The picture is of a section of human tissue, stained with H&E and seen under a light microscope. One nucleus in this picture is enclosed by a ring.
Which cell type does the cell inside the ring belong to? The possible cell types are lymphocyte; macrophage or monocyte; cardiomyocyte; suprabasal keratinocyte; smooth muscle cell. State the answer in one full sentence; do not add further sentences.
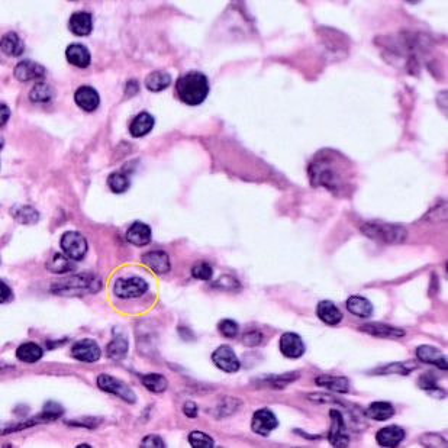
Just put down that the cell inside the ring is a lymphocyte.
